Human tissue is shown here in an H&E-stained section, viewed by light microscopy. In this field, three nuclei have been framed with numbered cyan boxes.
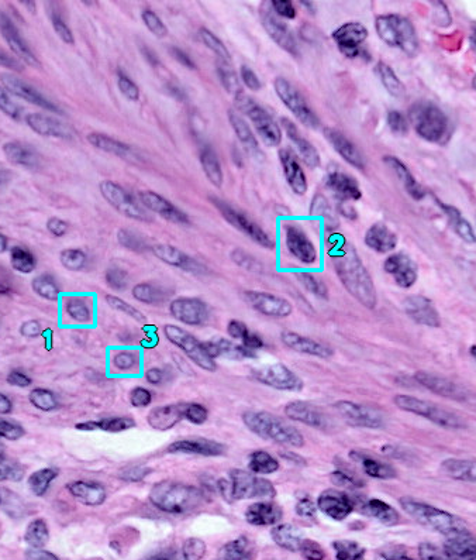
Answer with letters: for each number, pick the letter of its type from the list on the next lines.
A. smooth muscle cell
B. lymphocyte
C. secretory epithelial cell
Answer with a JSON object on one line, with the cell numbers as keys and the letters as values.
{"1": "A", "2": "B", "3": "A"}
